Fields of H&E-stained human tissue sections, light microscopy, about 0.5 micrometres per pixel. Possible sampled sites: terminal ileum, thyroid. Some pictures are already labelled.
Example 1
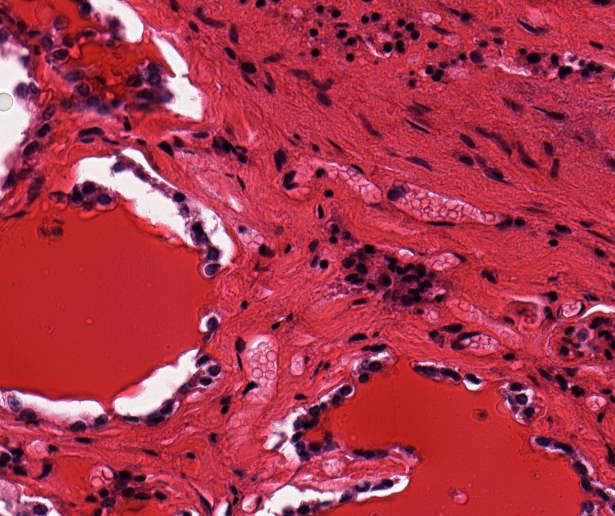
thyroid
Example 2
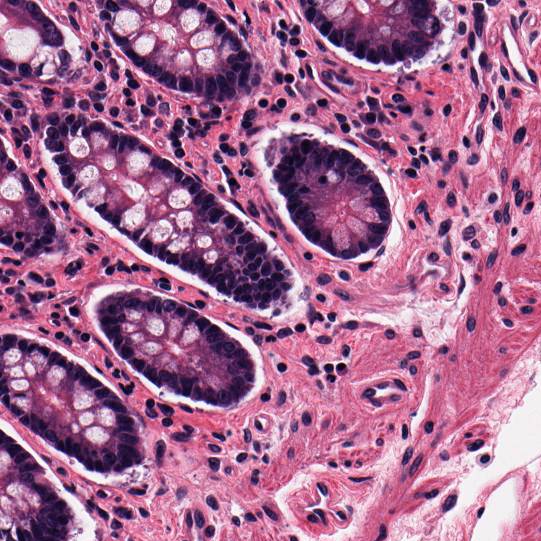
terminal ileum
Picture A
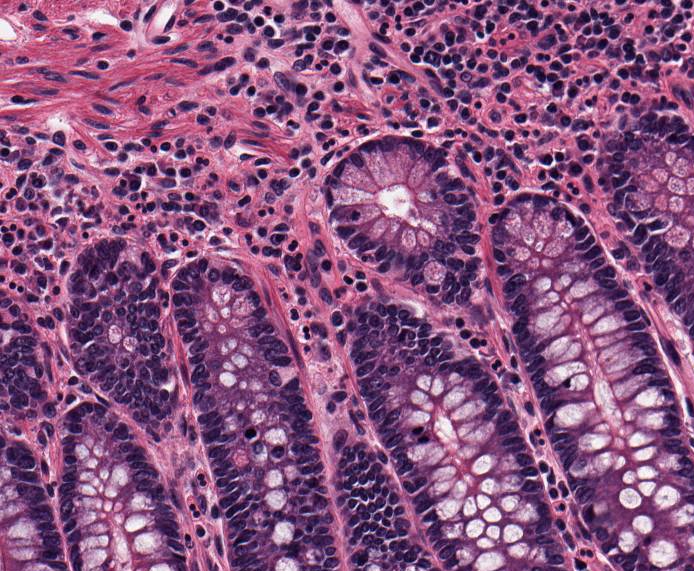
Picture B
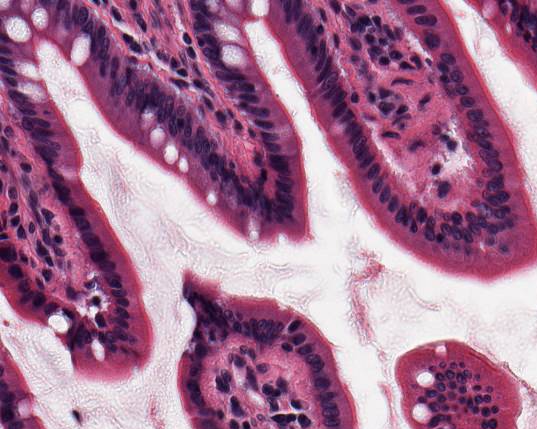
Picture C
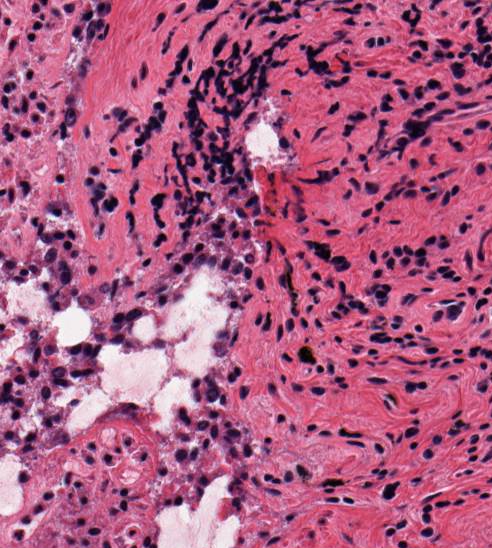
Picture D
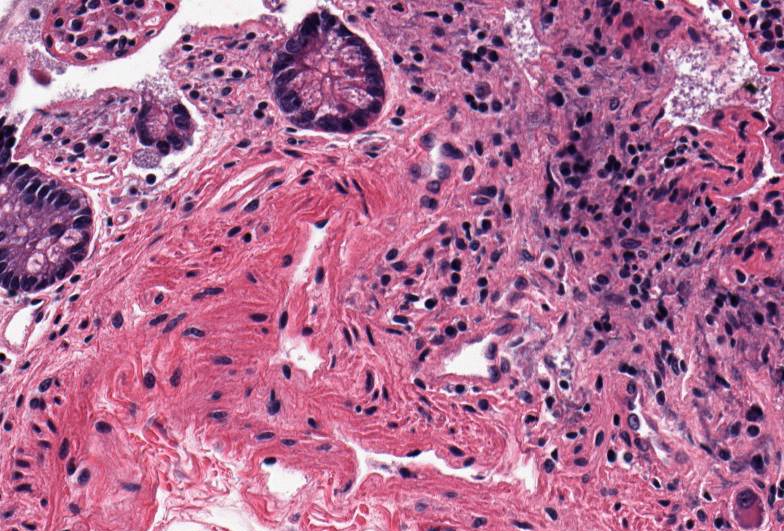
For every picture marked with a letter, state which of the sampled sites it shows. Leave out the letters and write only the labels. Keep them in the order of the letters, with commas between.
terminal ileum, terminal ileum, terminal ileum, terminal ileum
